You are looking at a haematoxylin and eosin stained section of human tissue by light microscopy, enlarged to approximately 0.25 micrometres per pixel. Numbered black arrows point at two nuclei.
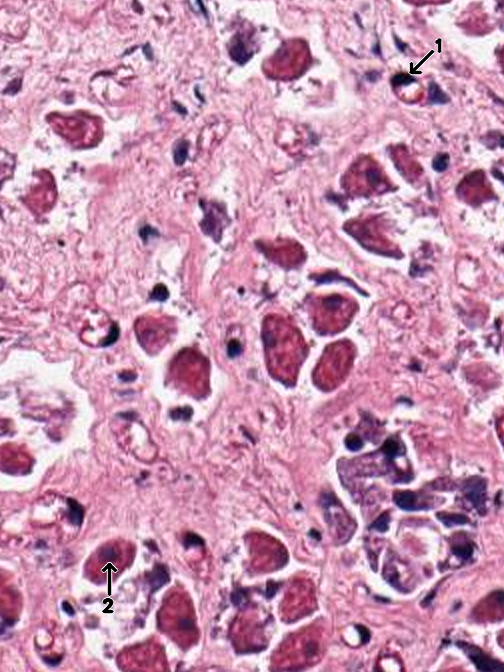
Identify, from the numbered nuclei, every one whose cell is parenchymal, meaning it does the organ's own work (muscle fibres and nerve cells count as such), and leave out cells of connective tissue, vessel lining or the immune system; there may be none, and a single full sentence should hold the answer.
Nucleus 2 is the nucleus of a parenchymal cell; the others are not.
